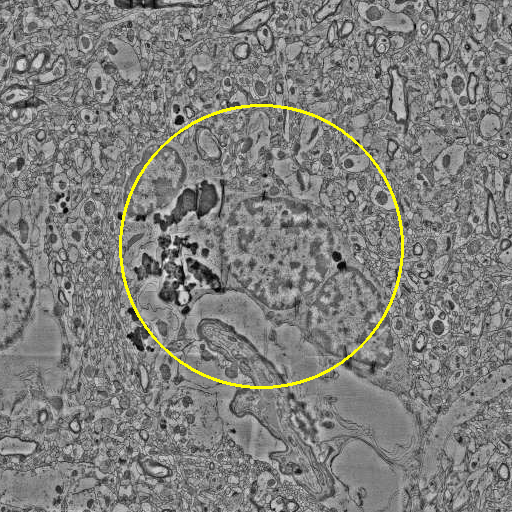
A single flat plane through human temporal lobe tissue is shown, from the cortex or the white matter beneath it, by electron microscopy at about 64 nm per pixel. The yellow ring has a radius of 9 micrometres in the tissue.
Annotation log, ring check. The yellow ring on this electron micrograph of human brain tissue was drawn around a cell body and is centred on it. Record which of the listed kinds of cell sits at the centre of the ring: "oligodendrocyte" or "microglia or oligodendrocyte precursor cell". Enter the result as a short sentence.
The cell at the centre of the ring is an oligodendrocyte.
